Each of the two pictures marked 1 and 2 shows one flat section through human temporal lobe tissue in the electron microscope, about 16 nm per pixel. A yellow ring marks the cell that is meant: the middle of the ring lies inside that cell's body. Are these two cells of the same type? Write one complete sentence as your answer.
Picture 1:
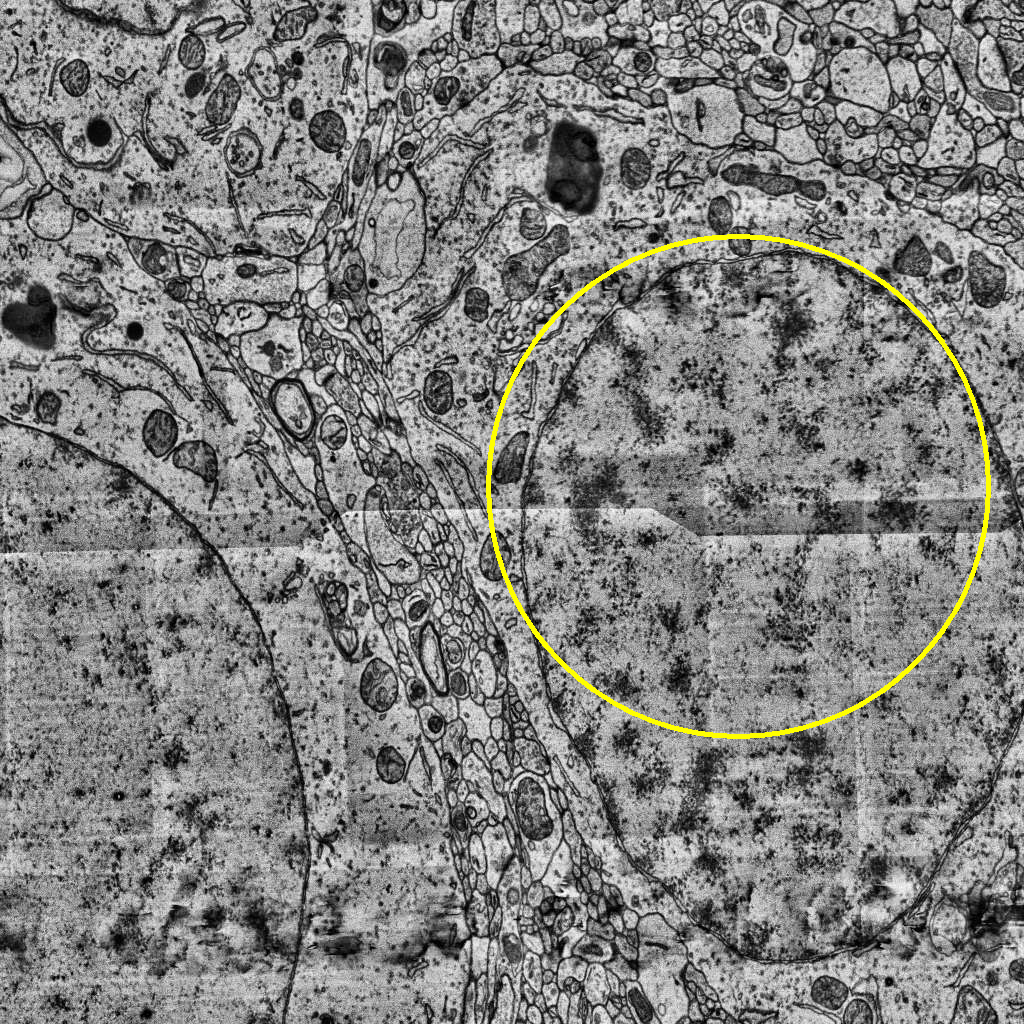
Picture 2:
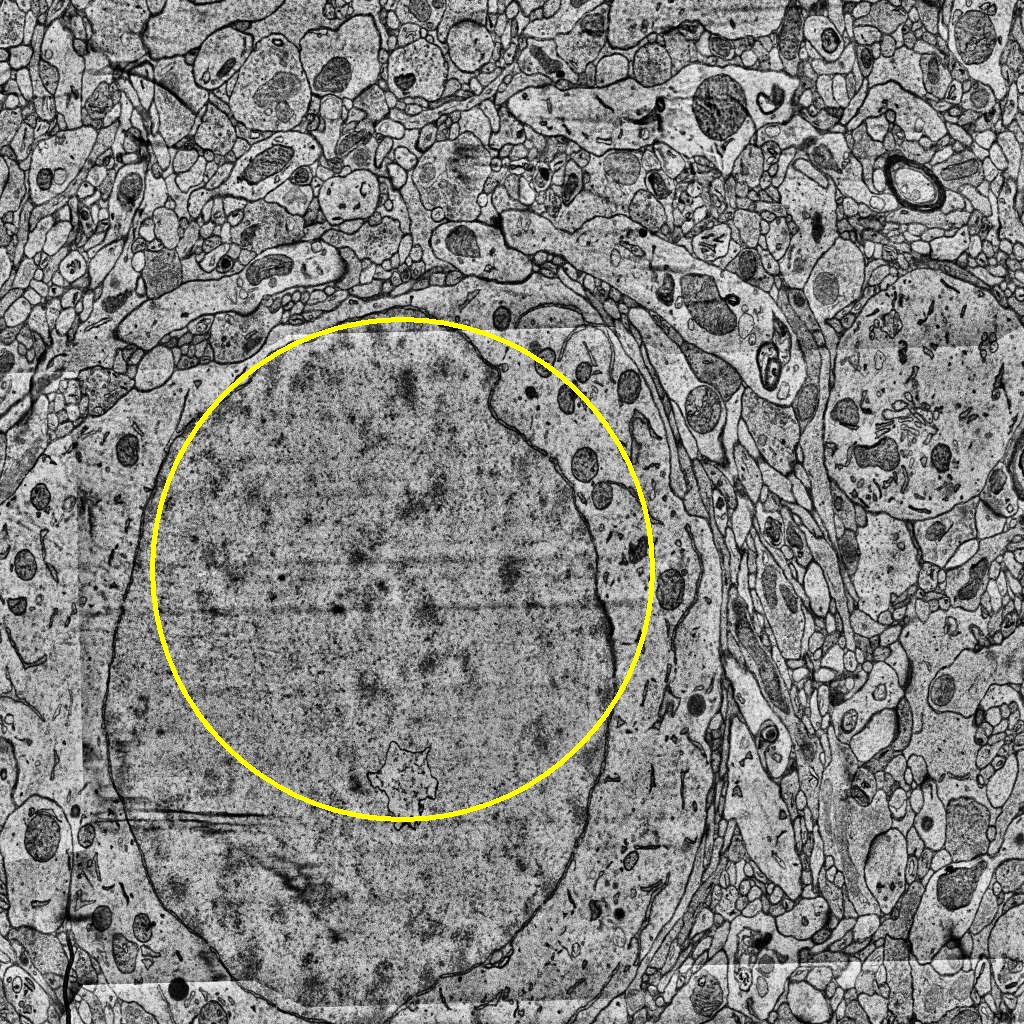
No, they differ: the cell is an interneuron in picture 1 and a pyramidal neuron in picture 2.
